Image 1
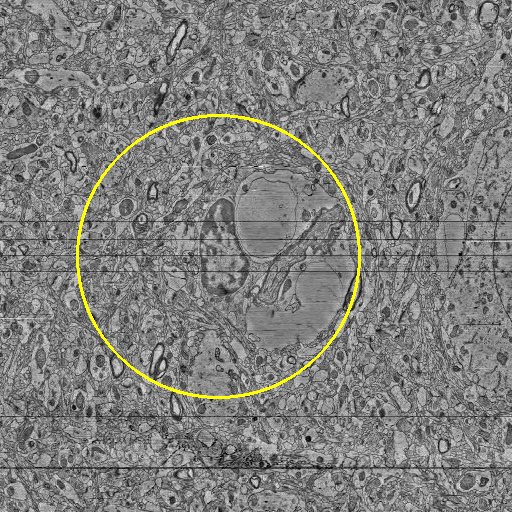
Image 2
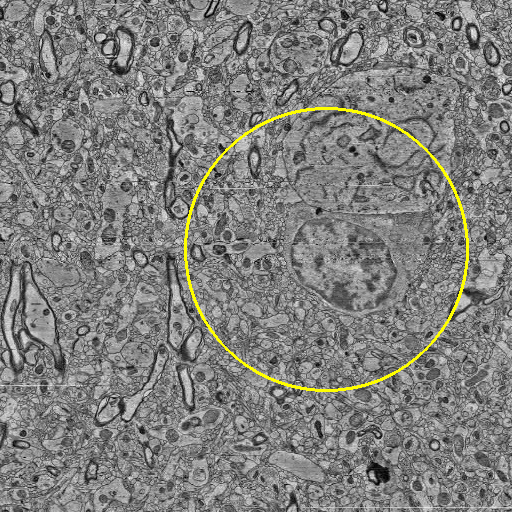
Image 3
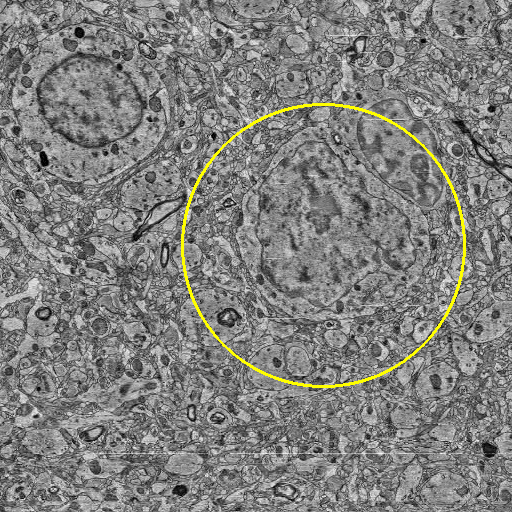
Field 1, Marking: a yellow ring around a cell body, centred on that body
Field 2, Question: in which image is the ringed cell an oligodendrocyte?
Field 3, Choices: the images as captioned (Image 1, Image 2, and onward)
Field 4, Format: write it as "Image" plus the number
Image 2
